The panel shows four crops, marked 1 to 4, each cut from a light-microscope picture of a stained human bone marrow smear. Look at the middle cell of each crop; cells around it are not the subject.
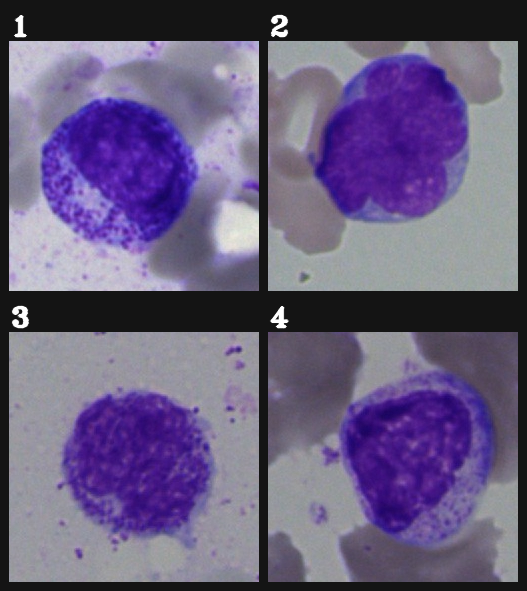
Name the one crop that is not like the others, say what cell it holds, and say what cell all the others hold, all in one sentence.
Apart from crop 2, which shows a blast, every crop shows myelocytes.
